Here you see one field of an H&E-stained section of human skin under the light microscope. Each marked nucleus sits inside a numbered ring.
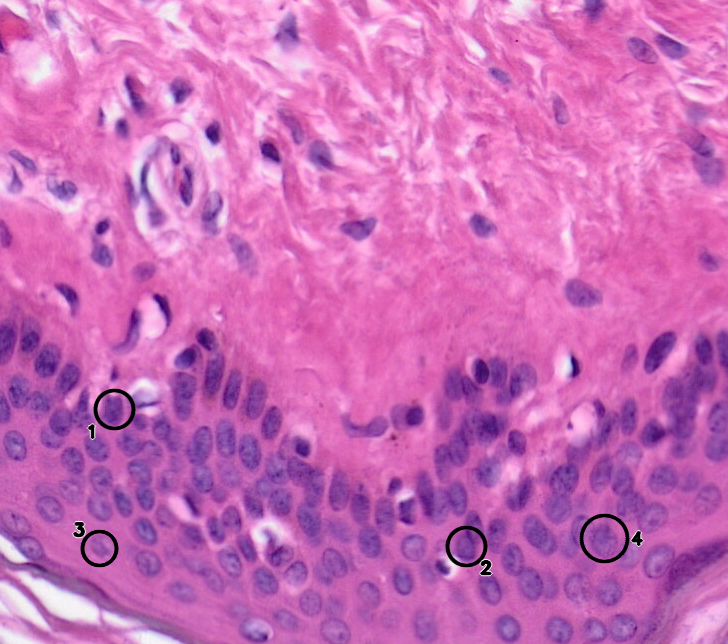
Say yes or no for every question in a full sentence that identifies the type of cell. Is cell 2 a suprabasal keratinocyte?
No, the identification of cell 2 as a suprabasal keratinocyte is incorrect; it is a basal keratinocyte.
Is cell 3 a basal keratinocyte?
No, the cell indicated by 3 is a suprabasal keratinocyte instead of a basal keratinocyte.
